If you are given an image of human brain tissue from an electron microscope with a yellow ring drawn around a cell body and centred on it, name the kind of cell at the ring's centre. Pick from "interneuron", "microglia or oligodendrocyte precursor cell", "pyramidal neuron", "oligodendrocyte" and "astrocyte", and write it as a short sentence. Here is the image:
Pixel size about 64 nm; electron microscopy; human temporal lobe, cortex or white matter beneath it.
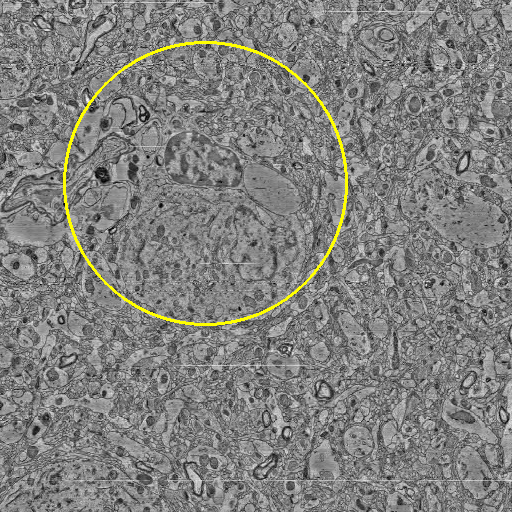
The cell at the ring's centre is a microglial cell or oligodendrocyte precursor cell.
